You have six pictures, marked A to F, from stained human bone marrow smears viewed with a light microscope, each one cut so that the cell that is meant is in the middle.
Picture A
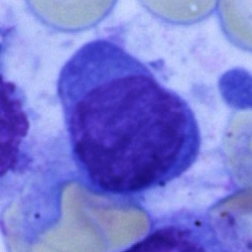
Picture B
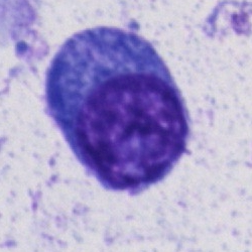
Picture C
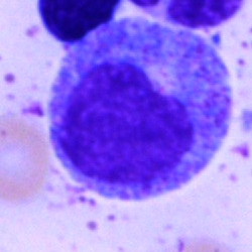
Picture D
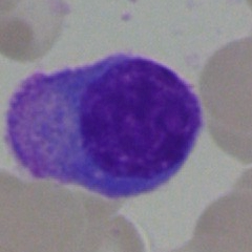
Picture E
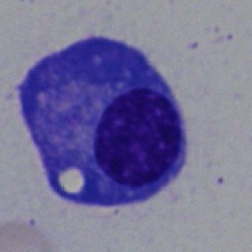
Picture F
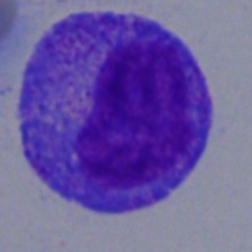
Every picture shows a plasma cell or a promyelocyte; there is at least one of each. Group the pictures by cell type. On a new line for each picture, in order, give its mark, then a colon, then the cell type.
A: plasma cell
B: plasma cell
C: promyelocyte
D: plasma cell
E: plasma cell
F: promyelocyte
